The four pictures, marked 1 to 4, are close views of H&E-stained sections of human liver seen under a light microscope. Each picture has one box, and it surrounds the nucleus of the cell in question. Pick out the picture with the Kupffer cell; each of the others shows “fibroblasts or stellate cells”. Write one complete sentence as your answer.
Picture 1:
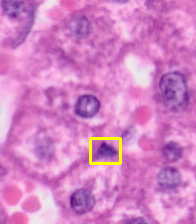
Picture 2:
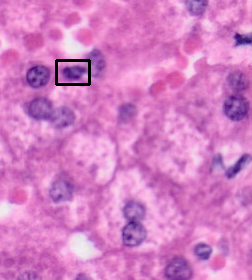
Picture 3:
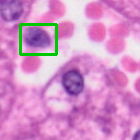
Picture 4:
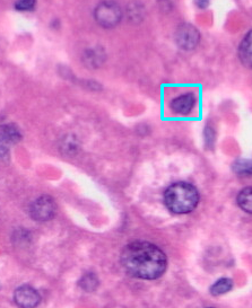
Picture 3 is the one that shows the Kupffer cell.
